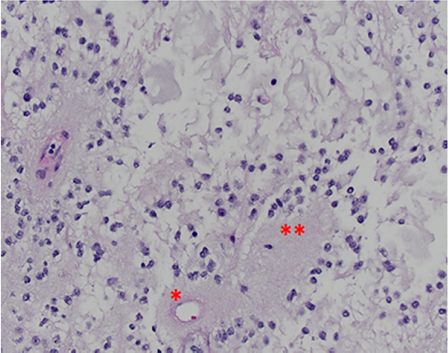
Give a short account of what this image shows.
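This tumor tissue is made up of small round neurocytic cells with uniform dark round nuclei, lying loosely in a pale, bubbly mucinous-myxoid background. The cells gather around pink fibrillary neuropil cores to form rosettes, and one small vessel is ringed by pink fibrillary neuropil, forming a perivascular pseudo-rosette.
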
